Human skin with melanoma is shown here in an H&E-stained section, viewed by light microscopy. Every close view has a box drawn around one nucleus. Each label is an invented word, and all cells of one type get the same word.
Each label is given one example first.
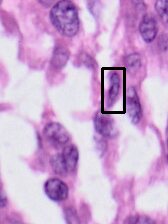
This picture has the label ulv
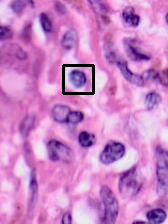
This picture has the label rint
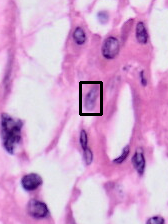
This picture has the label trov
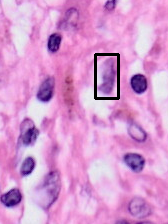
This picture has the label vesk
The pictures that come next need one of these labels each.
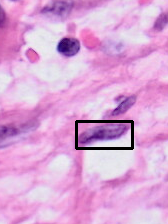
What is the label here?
vesk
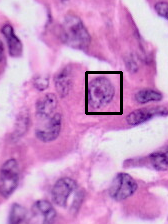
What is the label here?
ulv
